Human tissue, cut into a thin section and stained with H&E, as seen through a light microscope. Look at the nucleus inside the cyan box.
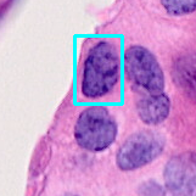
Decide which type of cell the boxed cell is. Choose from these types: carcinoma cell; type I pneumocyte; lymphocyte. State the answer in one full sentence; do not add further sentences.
Considered by cell type, the boxed cell is a carcinoma cell.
